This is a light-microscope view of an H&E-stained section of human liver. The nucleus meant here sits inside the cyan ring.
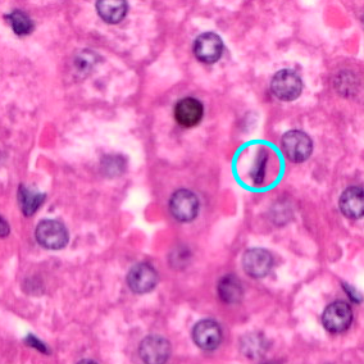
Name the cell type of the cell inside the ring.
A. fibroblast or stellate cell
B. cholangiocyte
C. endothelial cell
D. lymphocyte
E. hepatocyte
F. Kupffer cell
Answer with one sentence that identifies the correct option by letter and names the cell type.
Of the options offered, C is correct, as the cell inside the ring is an endothelial cell.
